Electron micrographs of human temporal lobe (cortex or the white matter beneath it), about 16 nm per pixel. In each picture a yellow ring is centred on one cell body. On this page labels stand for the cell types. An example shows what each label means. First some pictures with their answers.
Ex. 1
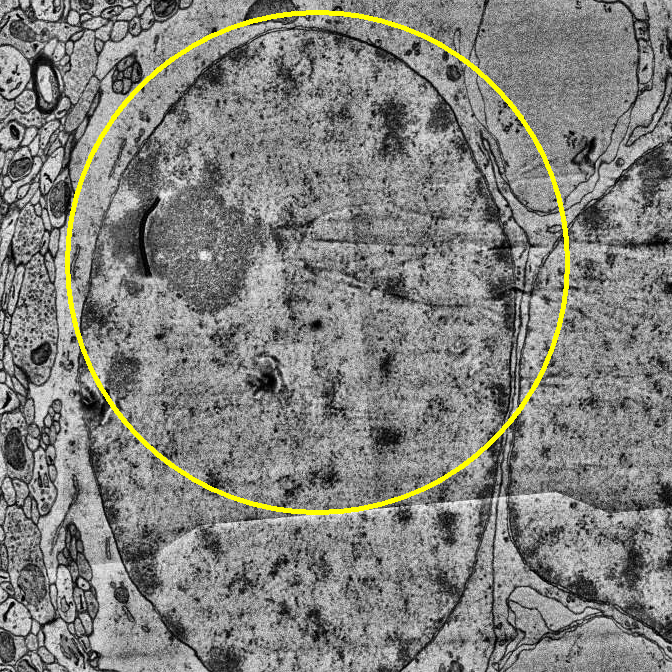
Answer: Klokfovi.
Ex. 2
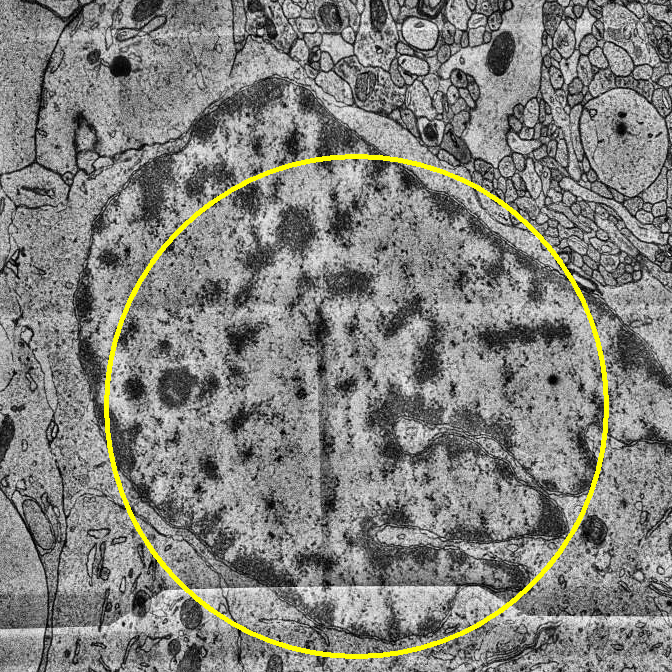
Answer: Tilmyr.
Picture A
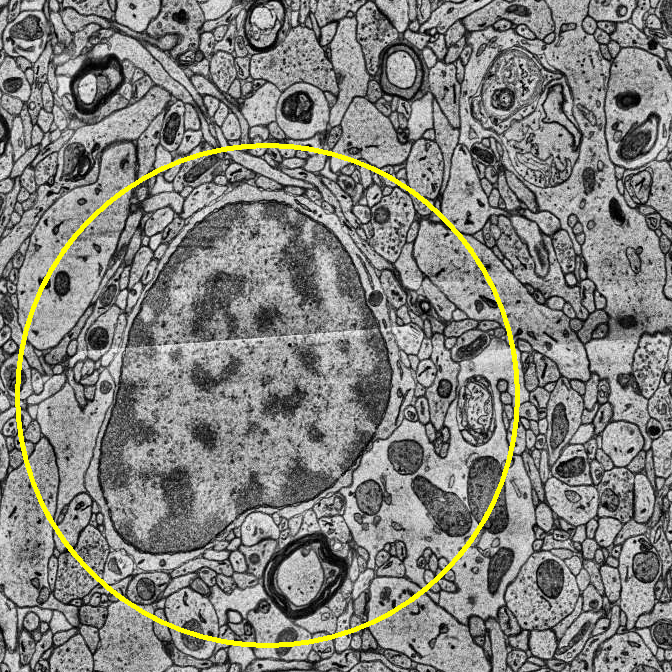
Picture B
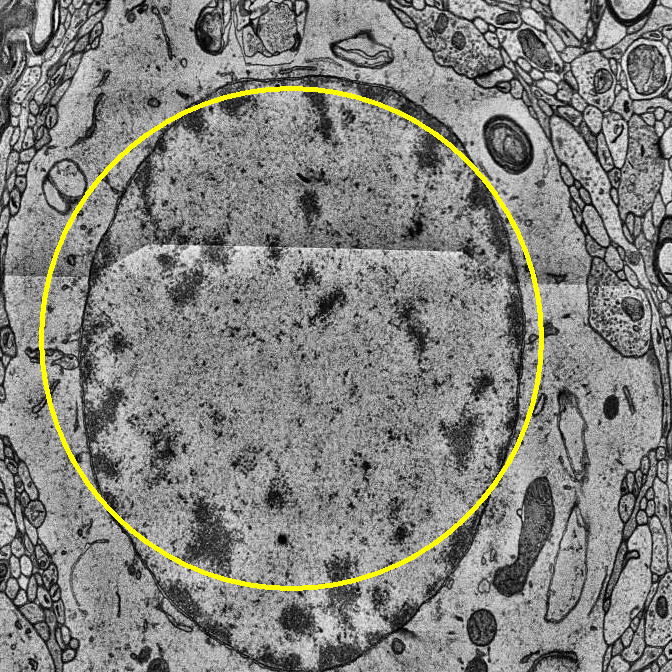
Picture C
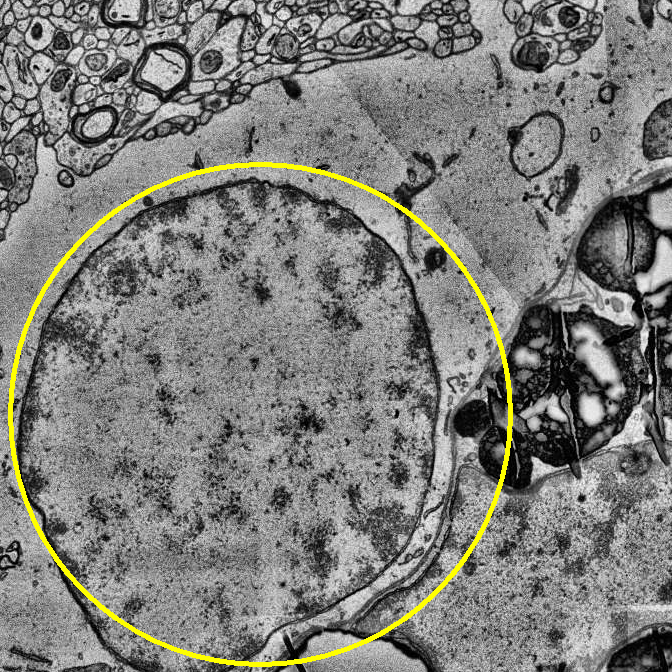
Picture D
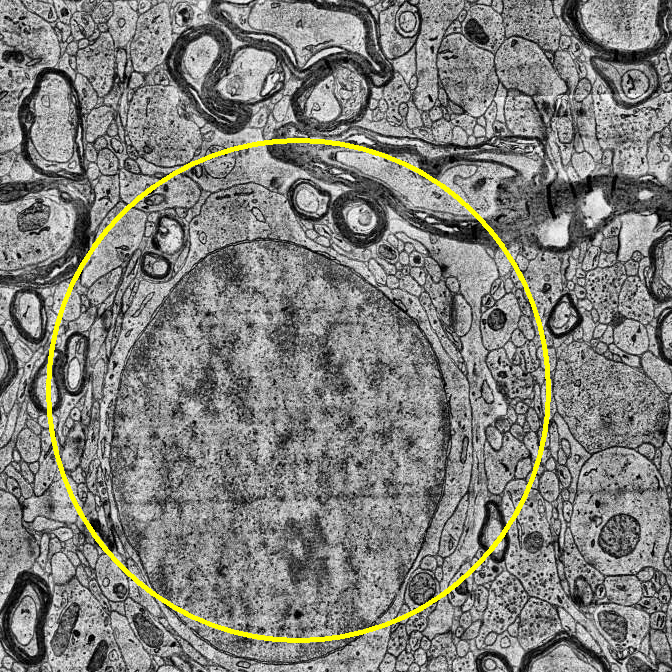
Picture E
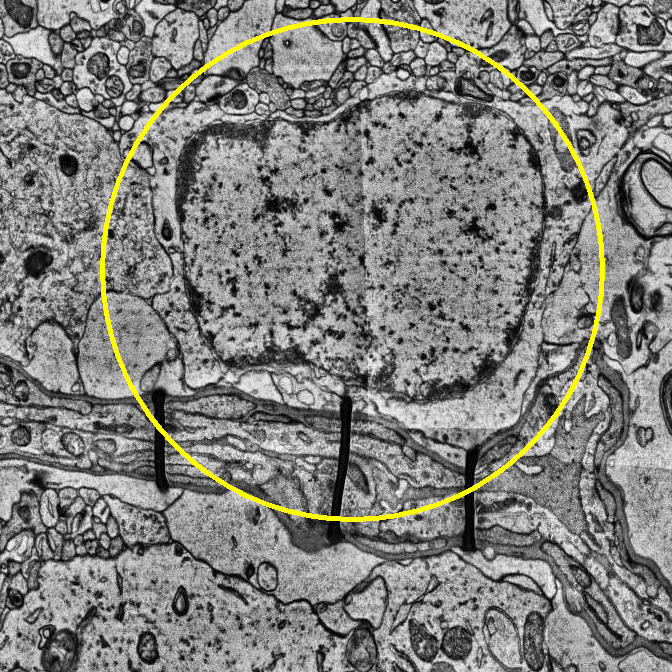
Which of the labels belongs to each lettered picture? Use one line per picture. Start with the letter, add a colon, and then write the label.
A: Tilmyr.
B: Klokfovi.
C: Klokfovi.
D: Tilmyr.
E: Tilmyr.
